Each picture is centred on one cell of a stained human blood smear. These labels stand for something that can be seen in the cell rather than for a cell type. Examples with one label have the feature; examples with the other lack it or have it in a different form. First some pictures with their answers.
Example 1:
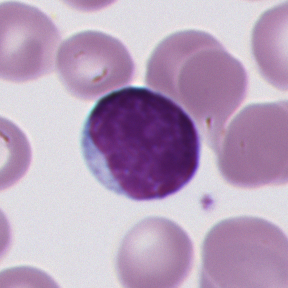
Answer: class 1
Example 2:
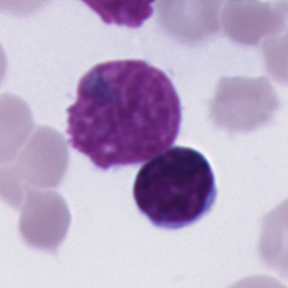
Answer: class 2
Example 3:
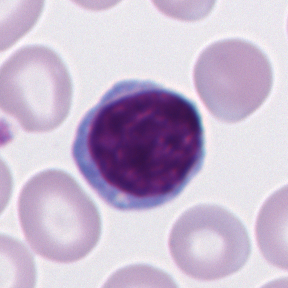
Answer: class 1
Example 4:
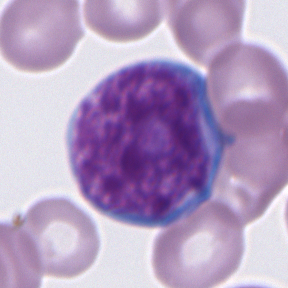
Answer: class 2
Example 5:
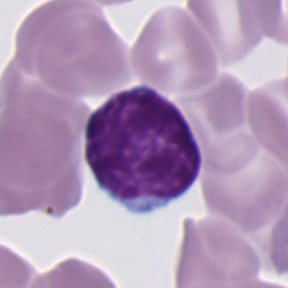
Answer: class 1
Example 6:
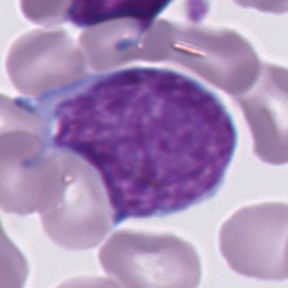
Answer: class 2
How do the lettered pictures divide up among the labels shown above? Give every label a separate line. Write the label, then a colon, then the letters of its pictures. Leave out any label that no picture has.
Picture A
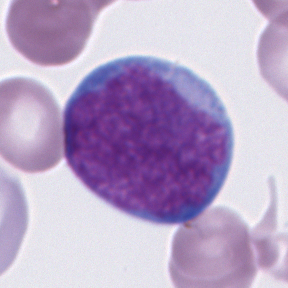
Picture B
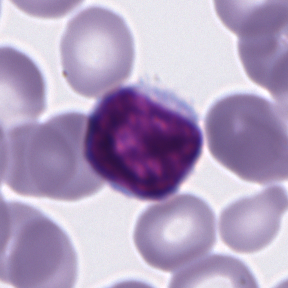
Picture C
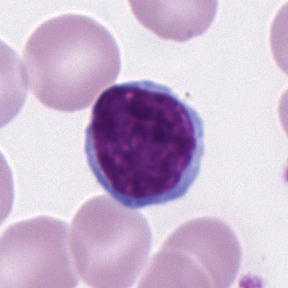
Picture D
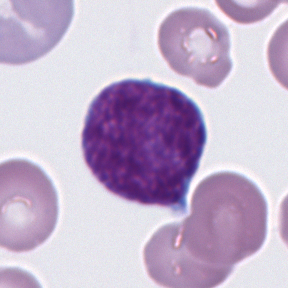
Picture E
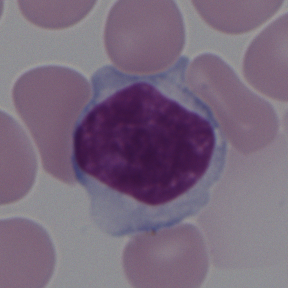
class 1: A, C
class 2: B, D, E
